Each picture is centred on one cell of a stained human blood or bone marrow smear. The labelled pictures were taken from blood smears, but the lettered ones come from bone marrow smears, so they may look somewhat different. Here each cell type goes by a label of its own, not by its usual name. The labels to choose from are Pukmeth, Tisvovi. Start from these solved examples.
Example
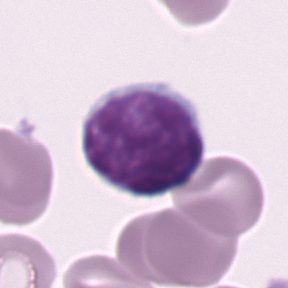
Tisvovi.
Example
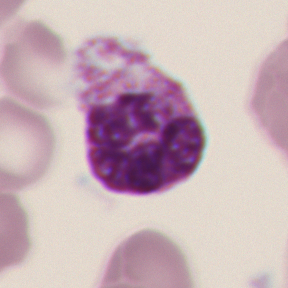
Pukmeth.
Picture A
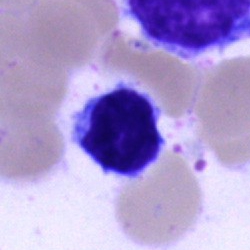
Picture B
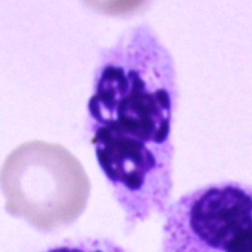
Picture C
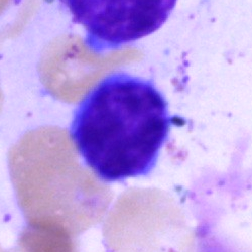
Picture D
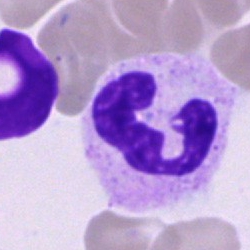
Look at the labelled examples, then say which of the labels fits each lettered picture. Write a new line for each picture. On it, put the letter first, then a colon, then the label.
A: Tisvovi.
B: Pukmeth.
C: Tisvovi.
D: Pukmeth.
